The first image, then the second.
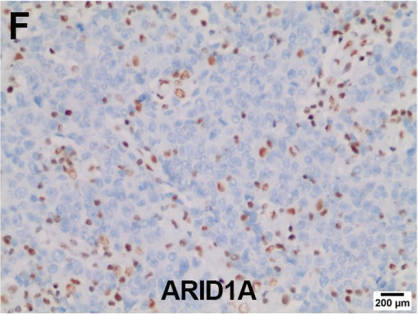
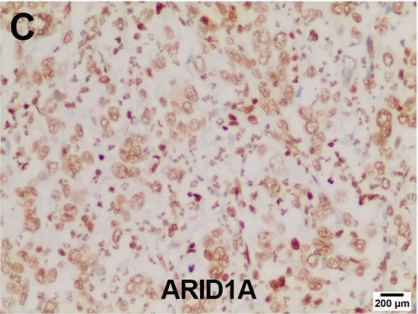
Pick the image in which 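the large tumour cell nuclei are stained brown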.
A: The second image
